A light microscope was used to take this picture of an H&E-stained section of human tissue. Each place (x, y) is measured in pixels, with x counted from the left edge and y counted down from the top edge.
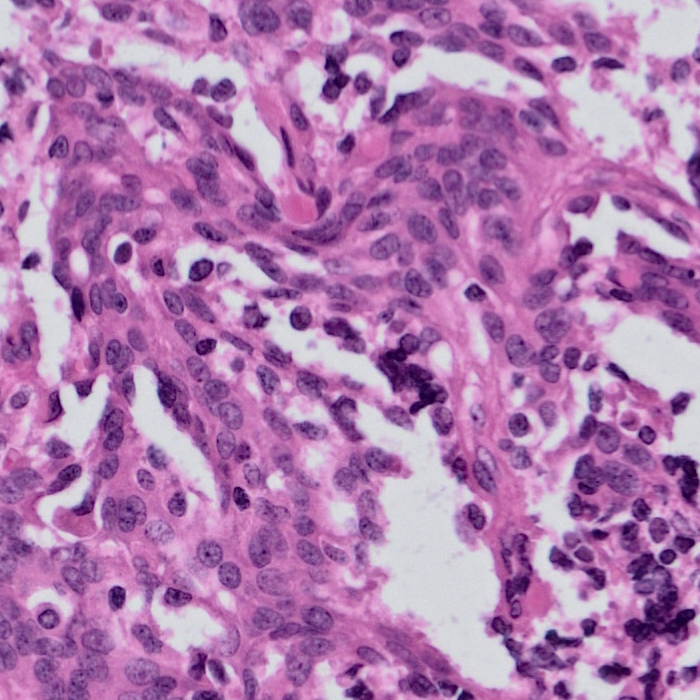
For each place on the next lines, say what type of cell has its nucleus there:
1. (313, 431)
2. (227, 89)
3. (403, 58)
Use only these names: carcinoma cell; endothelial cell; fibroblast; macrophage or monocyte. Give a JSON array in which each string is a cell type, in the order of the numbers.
["macrophage or monocyte", "carcinoma cell", "macrophage or monocyte"]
